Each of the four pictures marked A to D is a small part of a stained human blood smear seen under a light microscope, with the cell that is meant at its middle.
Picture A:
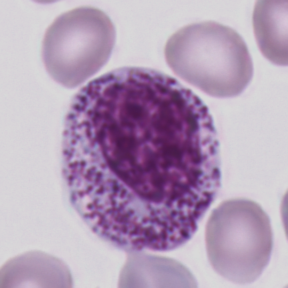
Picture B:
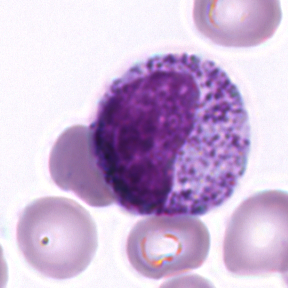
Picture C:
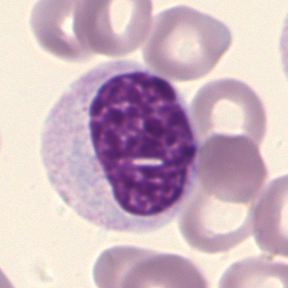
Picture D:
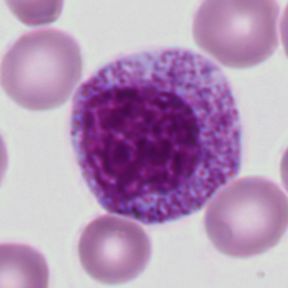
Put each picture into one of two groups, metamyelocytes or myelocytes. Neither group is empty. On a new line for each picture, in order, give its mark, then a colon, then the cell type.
A: myelocyte
B: metamyelocyte
C: metamyelocyte
D: myelocyte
